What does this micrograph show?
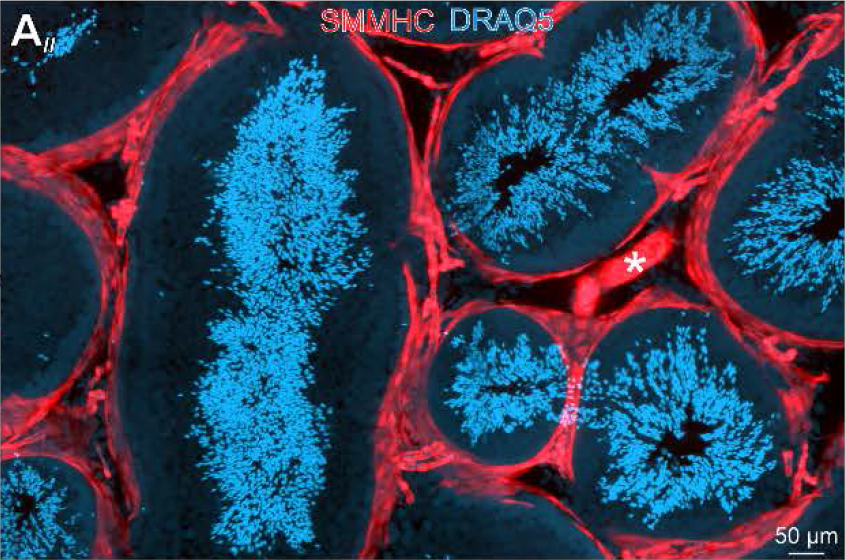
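This is testis tissue with several seminiferous tubules cut across and lengthwise, each enclosed by a thin red layer of flattened peritubular cells in the tubule wall. Inside the tubules the bright blue nuclear dots are densest in radial streaks and clusters toward the lumen, the condensed nuclei of post-meiotic germ cells, while the outer epithelium is only dimly blue. Between the tubules the interstitial spaces contain red strands, and one elongated red tube-like structure there is a blood vessel lined by endothelial cells.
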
